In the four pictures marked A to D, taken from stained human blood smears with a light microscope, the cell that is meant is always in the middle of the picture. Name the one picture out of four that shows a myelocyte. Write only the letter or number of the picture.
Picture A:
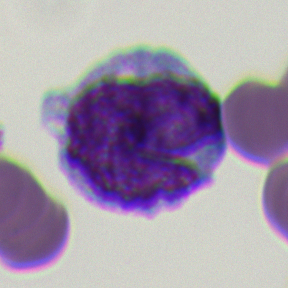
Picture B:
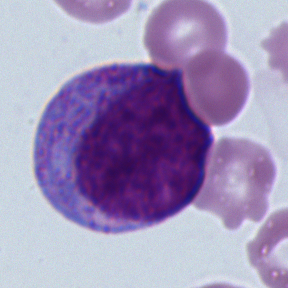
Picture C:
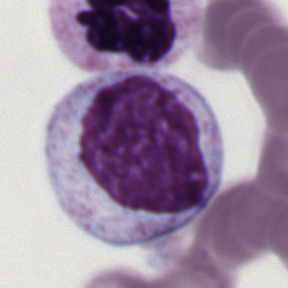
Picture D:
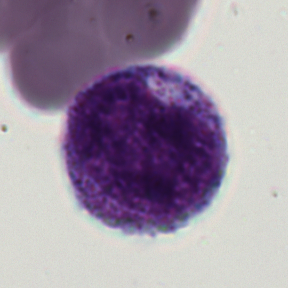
C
